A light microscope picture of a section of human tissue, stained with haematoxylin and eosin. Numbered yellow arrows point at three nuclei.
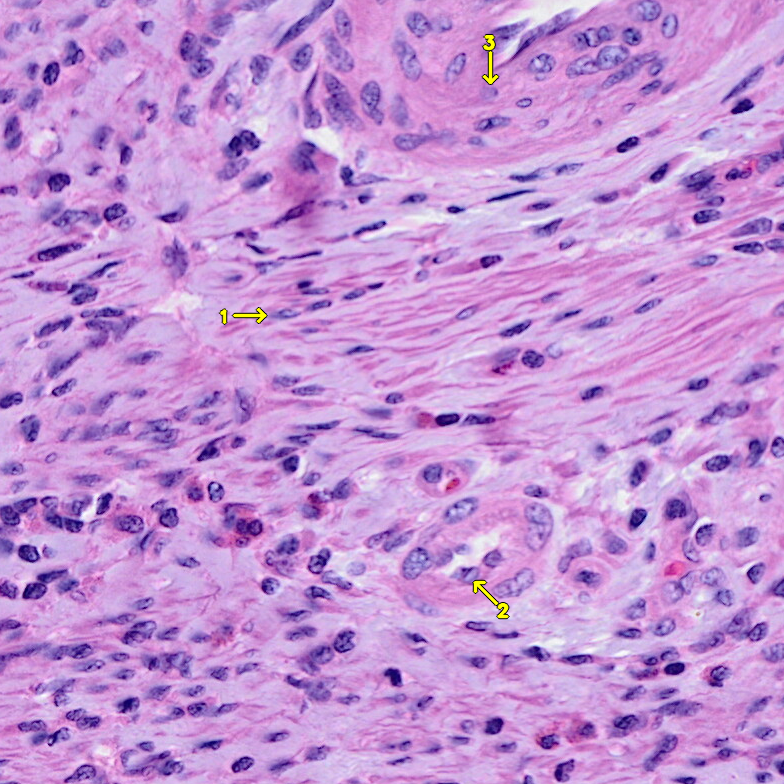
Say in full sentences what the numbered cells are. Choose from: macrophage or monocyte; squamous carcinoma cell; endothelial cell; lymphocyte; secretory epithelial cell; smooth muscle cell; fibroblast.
Cells 1 and 3 are smooth muscle cells. Cell 2 is an endothelial cell.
